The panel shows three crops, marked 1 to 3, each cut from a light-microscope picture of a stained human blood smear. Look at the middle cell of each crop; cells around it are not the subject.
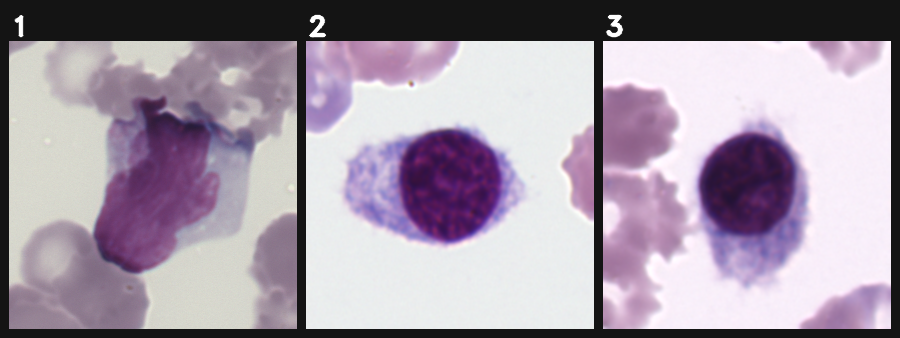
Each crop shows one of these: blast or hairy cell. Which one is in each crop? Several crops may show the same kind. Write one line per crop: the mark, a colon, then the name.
1: blast
2: hairy cell
3: hairy cell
